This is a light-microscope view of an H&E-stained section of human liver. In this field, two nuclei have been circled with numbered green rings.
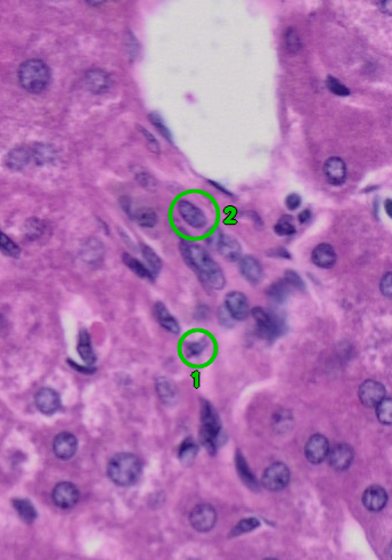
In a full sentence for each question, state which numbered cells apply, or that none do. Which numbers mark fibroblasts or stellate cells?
Only one choice fits: cell 1 is a fibroblast or stellate cell, and no other.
